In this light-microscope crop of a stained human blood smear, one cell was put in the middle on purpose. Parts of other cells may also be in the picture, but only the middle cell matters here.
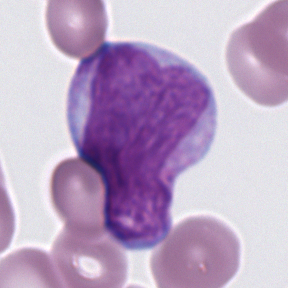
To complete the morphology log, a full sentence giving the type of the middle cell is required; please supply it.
Standing at the centre of this crop is an atypical promyelocyte.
